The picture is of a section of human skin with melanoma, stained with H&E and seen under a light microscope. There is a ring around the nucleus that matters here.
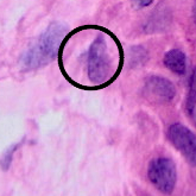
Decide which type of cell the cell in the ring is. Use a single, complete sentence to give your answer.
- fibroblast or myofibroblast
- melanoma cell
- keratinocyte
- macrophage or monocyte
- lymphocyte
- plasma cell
As classified here, the cell in the ring is a fibroblast or myofibroblast.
